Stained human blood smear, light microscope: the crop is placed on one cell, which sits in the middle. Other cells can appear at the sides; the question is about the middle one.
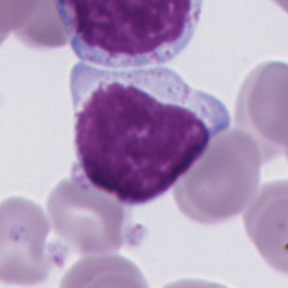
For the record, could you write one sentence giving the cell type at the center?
The cell marked by its central position in the crop is a large granular lymphocyte.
